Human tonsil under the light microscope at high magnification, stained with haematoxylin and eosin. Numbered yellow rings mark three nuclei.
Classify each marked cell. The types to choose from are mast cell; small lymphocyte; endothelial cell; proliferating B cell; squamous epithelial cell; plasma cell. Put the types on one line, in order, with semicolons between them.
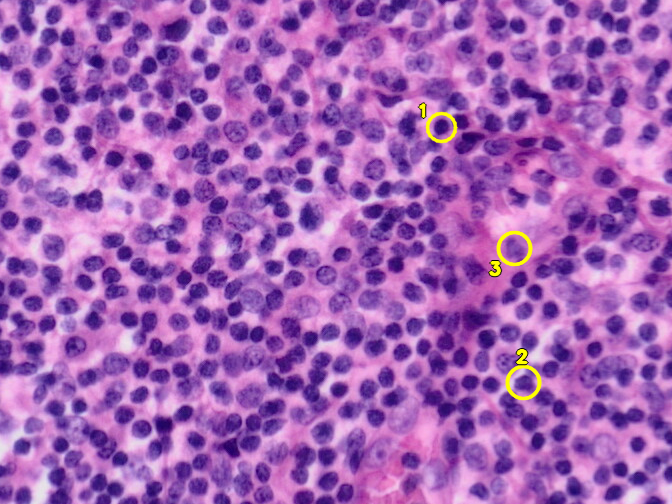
small lymphocyte; small lymphocyte; endothelial cell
